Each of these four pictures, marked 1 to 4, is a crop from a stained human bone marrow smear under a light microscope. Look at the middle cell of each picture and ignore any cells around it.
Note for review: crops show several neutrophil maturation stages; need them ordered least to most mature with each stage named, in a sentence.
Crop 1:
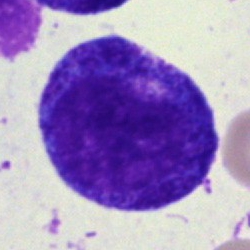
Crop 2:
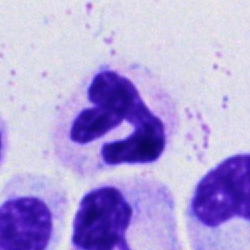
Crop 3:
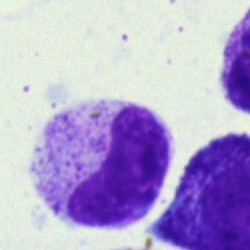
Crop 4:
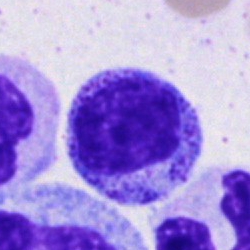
Least to most mature, the crops line up as crop 1 (a promyelocyte), crop 4 (a myelocyte), crop 3 (a metamyelocyte) and crop 2 (a segmented neutrophil).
